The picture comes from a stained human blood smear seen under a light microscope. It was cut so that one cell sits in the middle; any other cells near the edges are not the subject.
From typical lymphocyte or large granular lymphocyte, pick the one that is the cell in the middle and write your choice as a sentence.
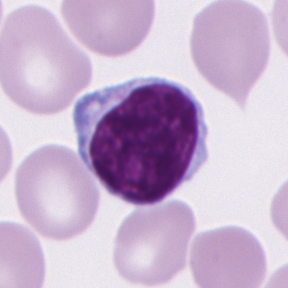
Centrally within this crop lies a typical lymphocyte.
